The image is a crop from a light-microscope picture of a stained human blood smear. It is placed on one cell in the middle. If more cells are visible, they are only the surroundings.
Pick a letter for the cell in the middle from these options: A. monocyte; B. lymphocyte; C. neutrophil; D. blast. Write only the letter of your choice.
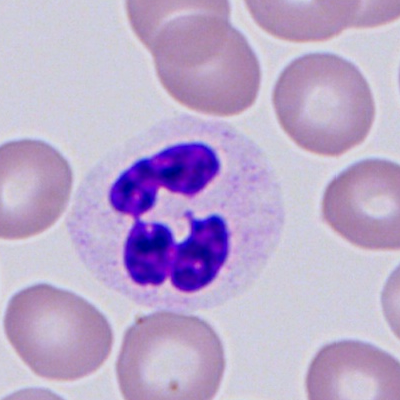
C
